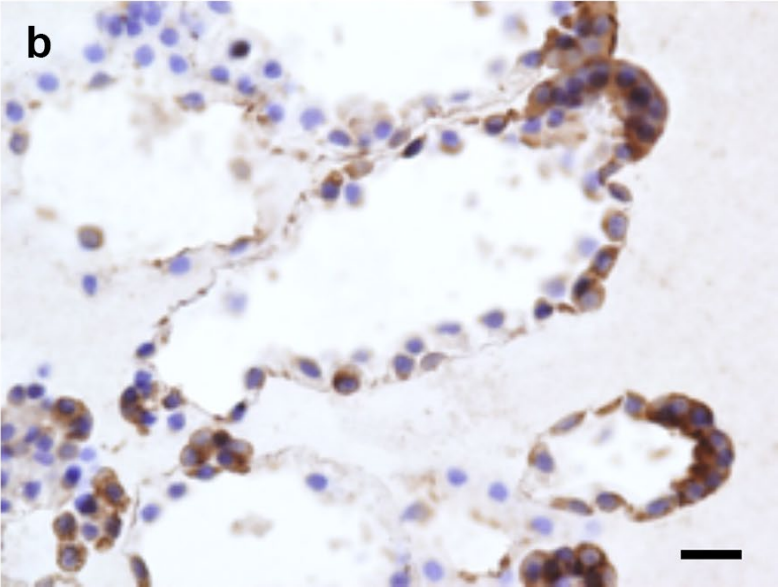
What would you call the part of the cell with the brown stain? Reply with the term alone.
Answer: Cytoplasm.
